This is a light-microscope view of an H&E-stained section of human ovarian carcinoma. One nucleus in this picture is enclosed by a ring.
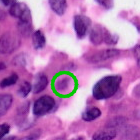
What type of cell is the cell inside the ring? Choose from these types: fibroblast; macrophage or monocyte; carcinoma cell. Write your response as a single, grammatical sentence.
The identity of the cell inside the ring is that of a macrophage or monocyte.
